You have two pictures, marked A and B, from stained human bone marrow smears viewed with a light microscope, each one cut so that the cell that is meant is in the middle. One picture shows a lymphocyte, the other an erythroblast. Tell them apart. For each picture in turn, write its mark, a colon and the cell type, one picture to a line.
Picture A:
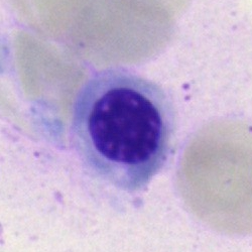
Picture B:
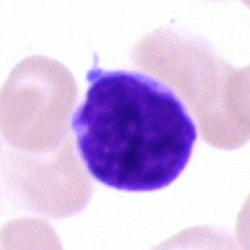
A: erythroblast
B: lymphocyte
